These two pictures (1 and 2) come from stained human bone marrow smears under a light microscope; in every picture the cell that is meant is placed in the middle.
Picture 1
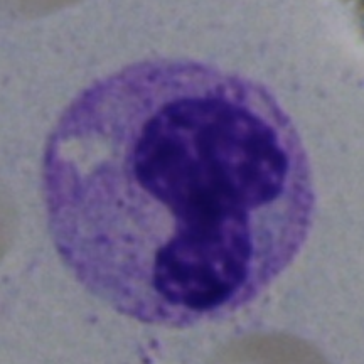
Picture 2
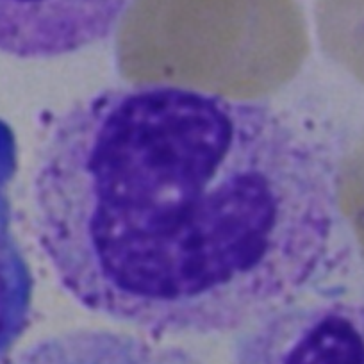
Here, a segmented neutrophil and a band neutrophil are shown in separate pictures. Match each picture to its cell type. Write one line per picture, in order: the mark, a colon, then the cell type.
1: segmented neutrophil
2: band neutrophil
